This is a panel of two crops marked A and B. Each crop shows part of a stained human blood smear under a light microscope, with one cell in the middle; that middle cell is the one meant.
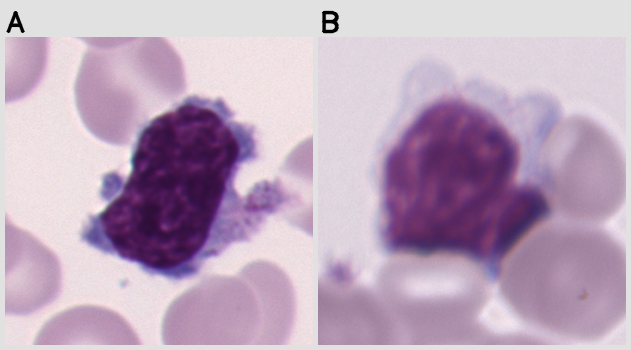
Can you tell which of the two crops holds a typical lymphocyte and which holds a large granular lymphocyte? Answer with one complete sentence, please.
Crop A is labelled a typical lymphocyte, and crop B is labelled a large granular lymphocyte.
